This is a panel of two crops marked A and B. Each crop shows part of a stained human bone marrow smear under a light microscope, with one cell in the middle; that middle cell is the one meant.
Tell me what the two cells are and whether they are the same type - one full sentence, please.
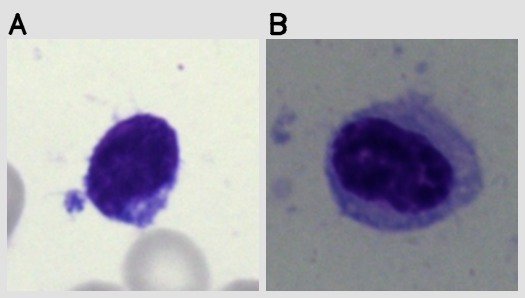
No, it is crop A that shows a blast, and crop B shows a hairy cell.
